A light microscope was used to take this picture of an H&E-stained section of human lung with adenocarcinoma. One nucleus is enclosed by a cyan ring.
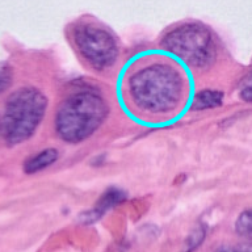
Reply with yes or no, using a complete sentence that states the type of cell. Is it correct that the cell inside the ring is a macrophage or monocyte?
No, the cell inside the ring is to be identified as a carcinoma cell, not a macrophage or monocyte.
